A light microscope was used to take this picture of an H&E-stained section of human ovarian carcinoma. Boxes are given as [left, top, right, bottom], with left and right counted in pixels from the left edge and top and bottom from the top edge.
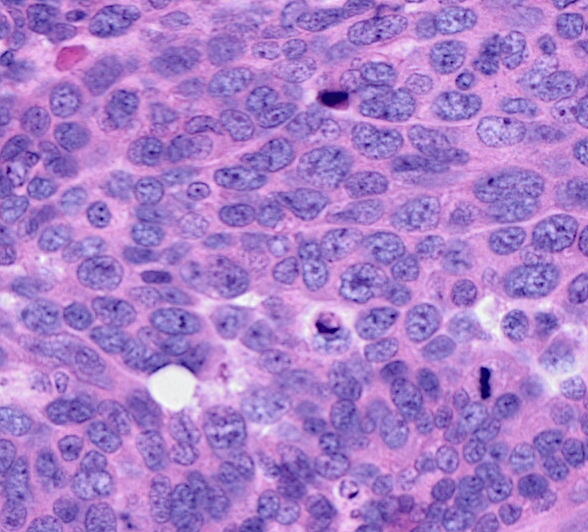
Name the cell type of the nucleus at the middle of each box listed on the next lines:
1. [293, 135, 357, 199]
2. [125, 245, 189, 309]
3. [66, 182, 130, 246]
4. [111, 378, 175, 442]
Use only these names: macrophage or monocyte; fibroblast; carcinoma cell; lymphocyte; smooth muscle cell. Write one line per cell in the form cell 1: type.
cell 1: carcinoma cell
cell 2: carcinoma cell
cell 3: macrophage or monocyte
cell 4: carcinoma cell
